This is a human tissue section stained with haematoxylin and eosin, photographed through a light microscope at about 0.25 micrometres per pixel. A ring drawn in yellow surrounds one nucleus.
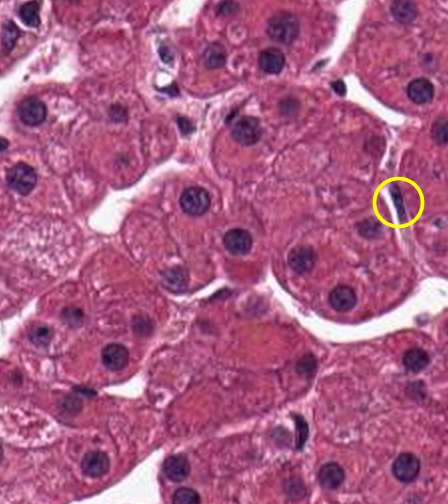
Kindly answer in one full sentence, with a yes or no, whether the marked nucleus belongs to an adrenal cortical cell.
No, the marked nucleus is not borne by an adrenal cortical cell; it is borne by a supporting cell.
